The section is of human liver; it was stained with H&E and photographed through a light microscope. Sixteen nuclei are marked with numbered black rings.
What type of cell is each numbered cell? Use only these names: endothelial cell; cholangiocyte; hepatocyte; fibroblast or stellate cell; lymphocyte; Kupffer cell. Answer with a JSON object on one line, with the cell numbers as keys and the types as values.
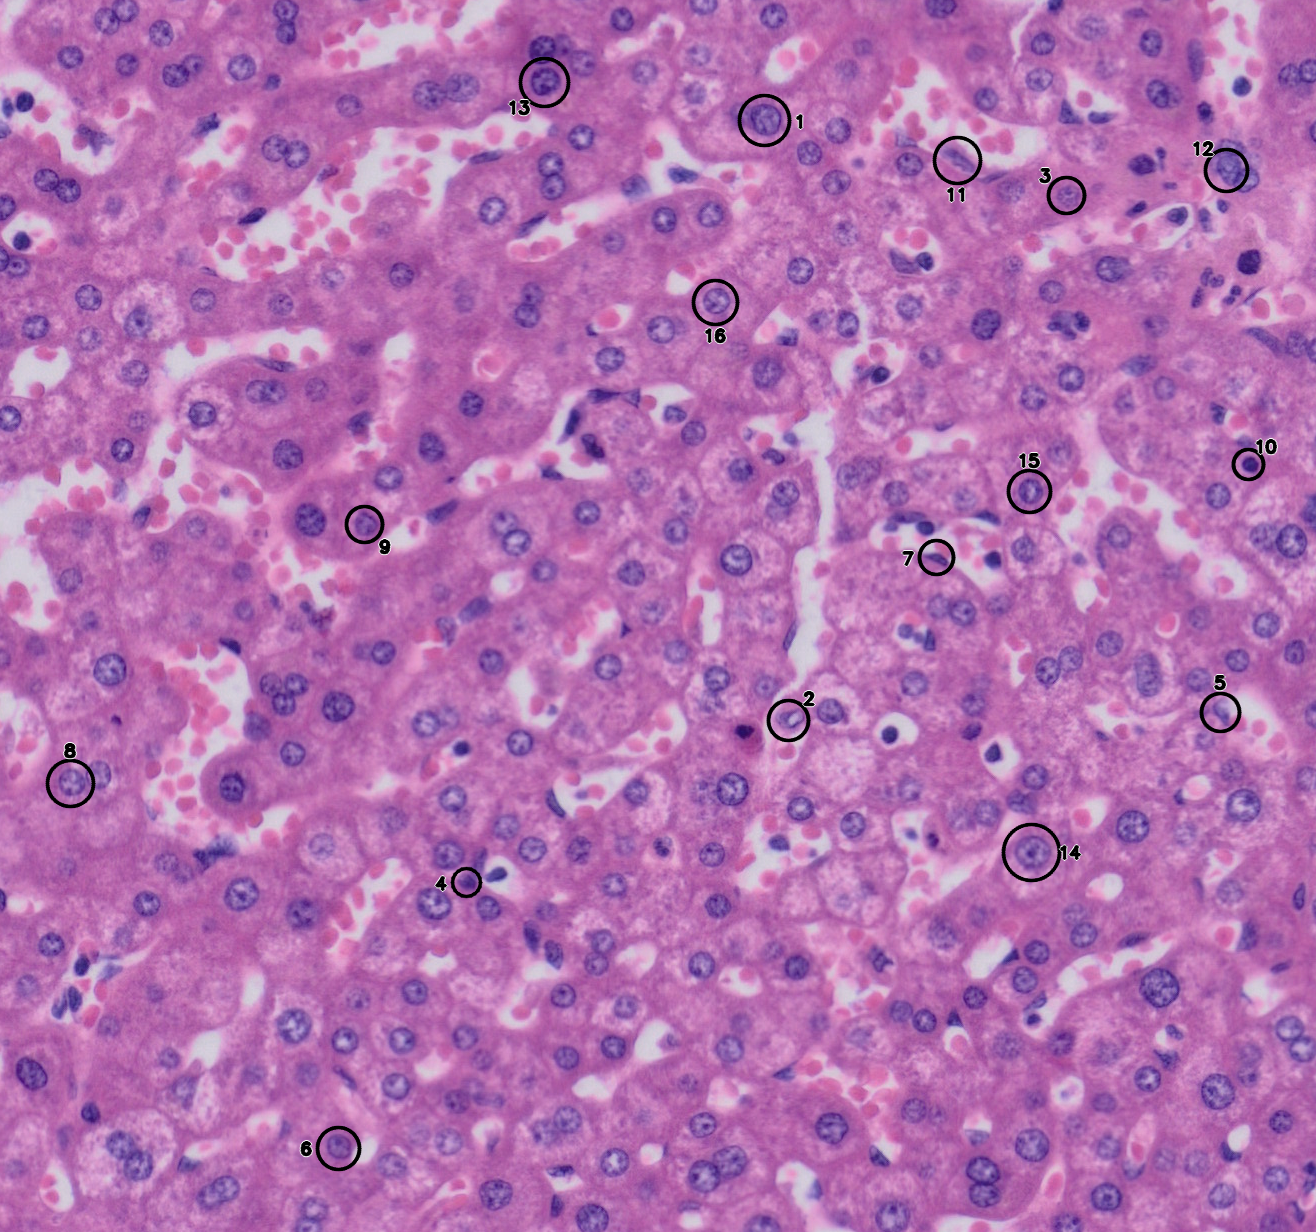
{"1": "hepatocyte", "2": "Kupffer cell", "3": "hepatocyte", "4": "fibroblast or stellate cell", "5": "endothelial cell", "6": "hepatocyte", "7": "endothelial cell", "8": "hepatocyte", "9": "hepatocyte", "10": "lymphocyte", "11": "Kupffer cell", "12": "cholangiocyte", "13": "hepatocyte", "14": "hepatocyte", "15": "hepatocyte", "16": "hepatocyte"}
